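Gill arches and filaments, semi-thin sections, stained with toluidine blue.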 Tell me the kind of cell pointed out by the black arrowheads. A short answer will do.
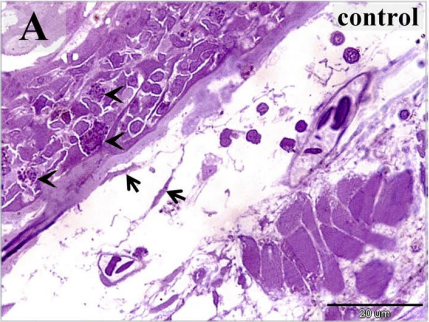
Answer: Immature rodlet cells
